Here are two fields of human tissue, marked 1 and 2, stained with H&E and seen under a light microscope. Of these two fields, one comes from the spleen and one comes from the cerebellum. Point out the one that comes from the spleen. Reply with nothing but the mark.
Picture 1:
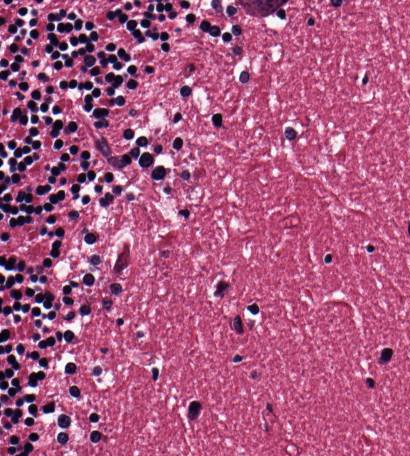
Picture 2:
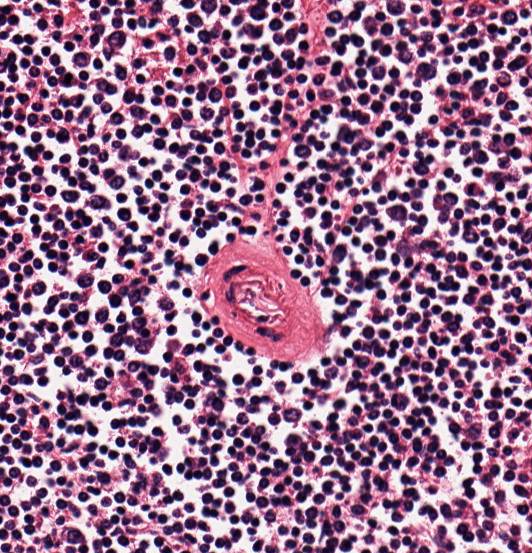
2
